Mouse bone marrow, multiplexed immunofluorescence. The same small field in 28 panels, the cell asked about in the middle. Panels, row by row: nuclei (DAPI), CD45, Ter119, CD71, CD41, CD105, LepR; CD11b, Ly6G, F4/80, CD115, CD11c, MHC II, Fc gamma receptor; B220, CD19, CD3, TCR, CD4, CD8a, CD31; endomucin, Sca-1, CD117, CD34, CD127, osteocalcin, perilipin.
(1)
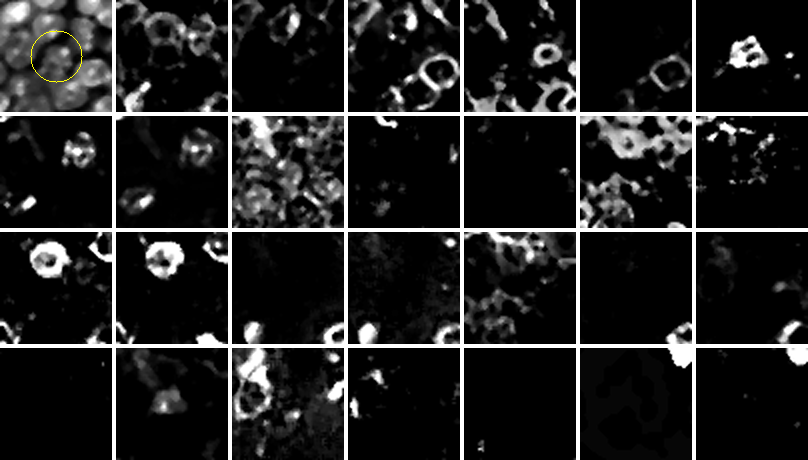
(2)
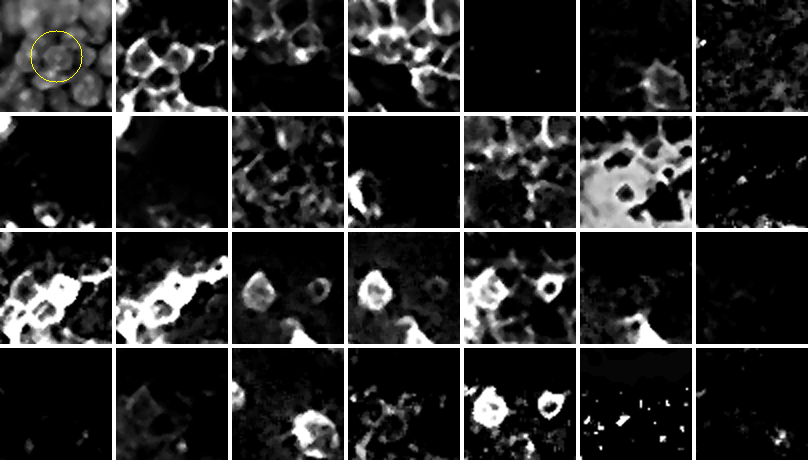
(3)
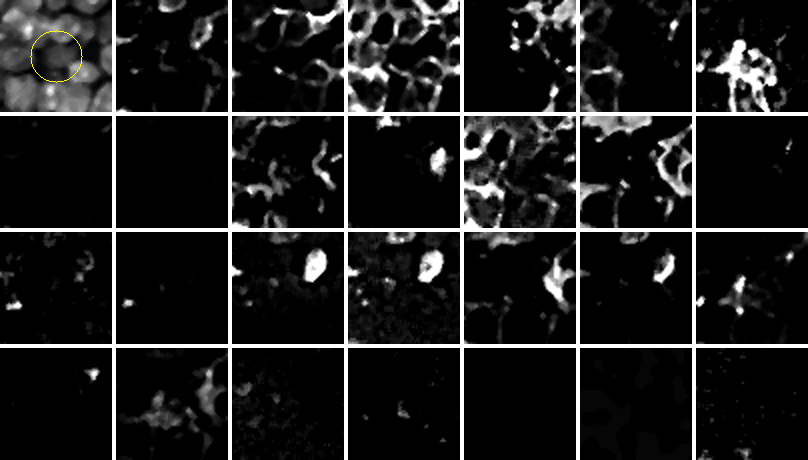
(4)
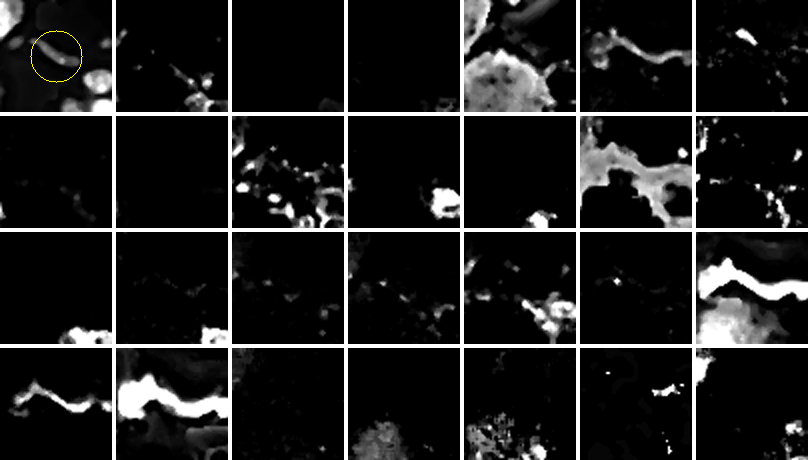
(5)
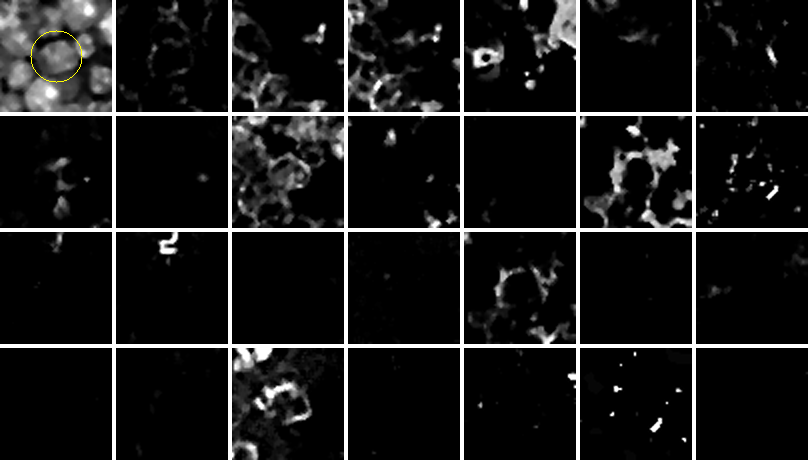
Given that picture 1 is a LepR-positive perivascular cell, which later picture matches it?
3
